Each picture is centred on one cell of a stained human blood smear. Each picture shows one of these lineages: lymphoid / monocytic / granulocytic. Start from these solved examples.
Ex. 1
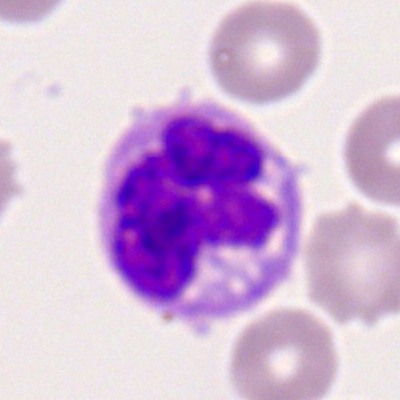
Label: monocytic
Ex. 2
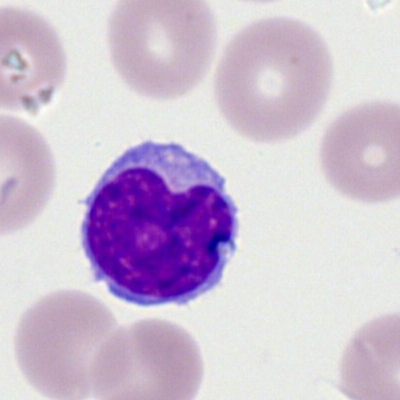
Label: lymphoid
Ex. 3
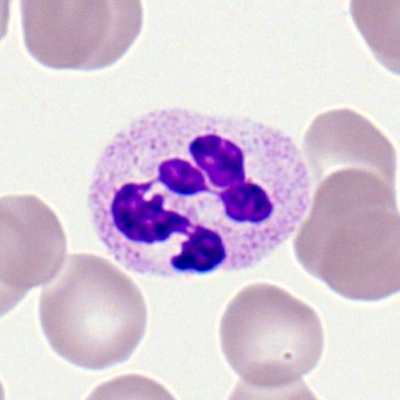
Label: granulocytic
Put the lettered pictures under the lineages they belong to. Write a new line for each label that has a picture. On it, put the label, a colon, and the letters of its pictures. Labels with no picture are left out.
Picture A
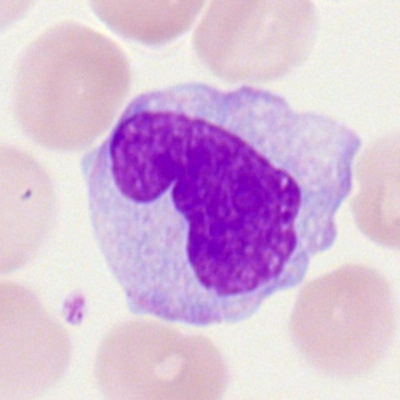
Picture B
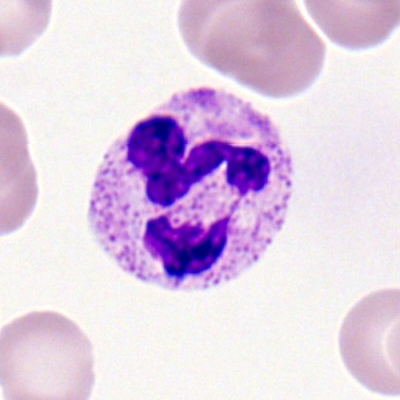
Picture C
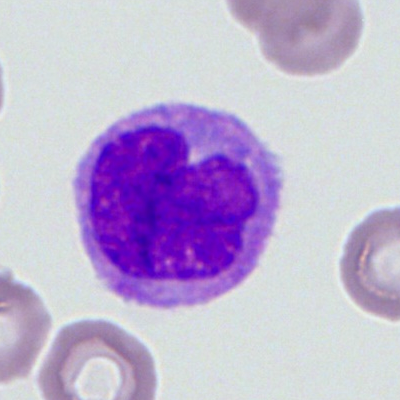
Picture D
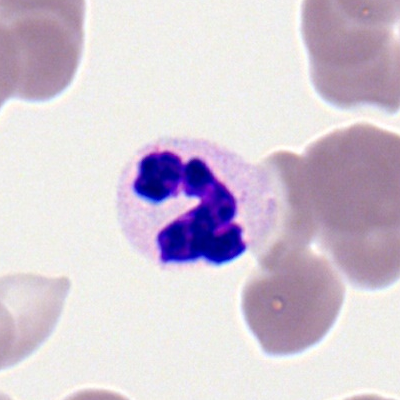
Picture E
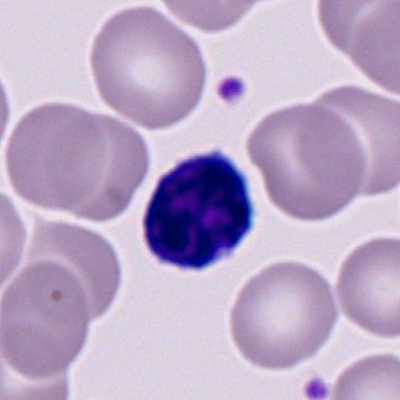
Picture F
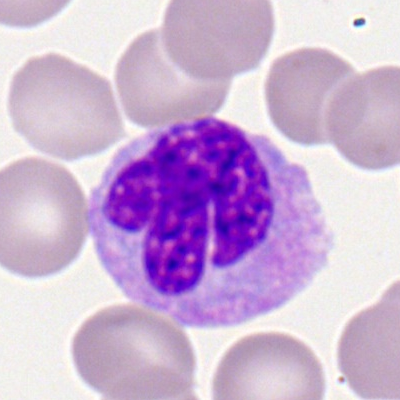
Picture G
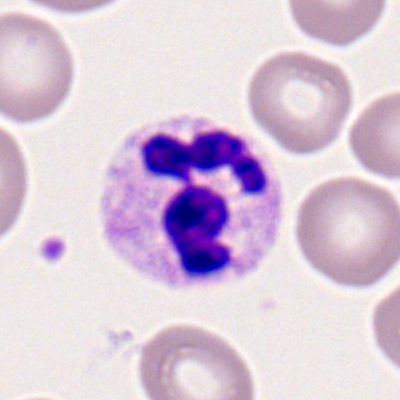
lymphoid: E
monocytic: A, C, F
granulocytic: B, D, G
